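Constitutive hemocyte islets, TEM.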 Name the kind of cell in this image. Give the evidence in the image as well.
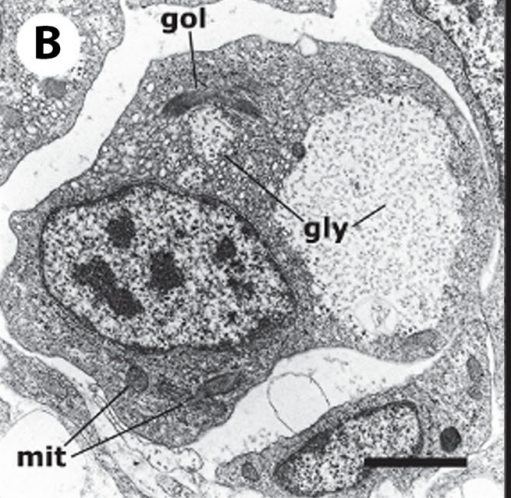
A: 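Hyalinocyte. A single cell with a large oval nucleus and clumped chromatin. Cytoplasm lacks dense granules and holds a large pale area of fine granular material. Small vesicles and a few elongated mitochondria in the cytoplasm.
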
